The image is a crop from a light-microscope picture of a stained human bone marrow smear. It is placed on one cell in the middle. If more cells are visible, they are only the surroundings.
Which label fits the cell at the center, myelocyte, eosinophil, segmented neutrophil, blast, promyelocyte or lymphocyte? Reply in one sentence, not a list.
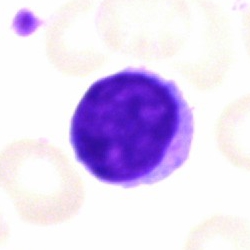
The target cell in the middle of the crop is a lymphocyte.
